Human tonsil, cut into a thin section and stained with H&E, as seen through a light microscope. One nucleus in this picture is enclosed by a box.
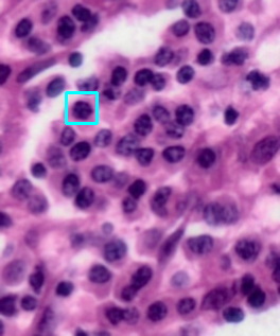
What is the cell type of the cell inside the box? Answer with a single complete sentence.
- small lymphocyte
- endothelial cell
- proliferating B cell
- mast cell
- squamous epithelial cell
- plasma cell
As a matter of cell type, the cell inside the box is a plasma cell.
